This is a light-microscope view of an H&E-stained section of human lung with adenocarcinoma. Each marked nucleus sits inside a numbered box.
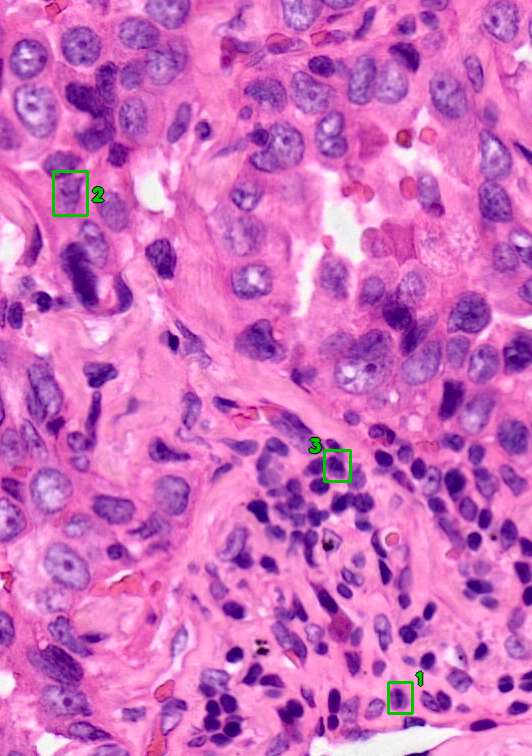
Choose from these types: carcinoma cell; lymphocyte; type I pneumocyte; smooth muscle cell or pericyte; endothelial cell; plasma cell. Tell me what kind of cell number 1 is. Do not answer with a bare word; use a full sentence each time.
As for number 1, that cell is a lymphocyte.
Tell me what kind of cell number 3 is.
Cell 3 in the field is a lymphocyte.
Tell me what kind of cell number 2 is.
The cell with the number 2 is a carcinoma cell.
